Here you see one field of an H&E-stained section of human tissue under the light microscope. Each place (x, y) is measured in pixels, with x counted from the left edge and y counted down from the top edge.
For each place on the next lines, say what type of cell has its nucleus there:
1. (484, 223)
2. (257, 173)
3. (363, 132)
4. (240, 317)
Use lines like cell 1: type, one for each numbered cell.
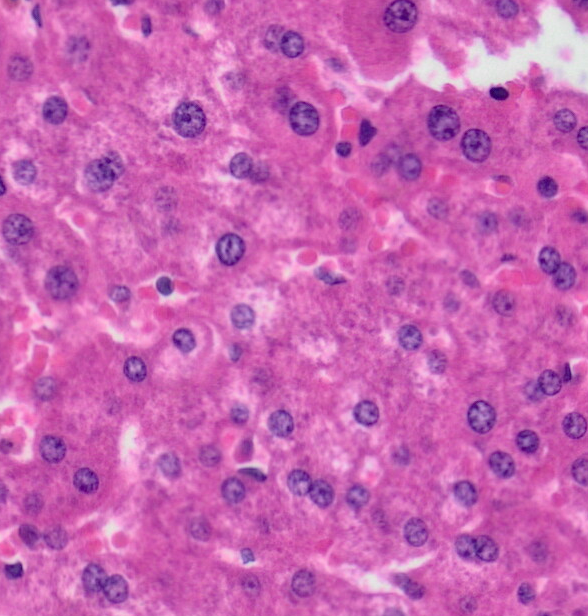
cell 1: hepatocyte
cell 2: hepatocyte
cell 3: fibroblast or stellate cell
cell 4: hepatocyte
